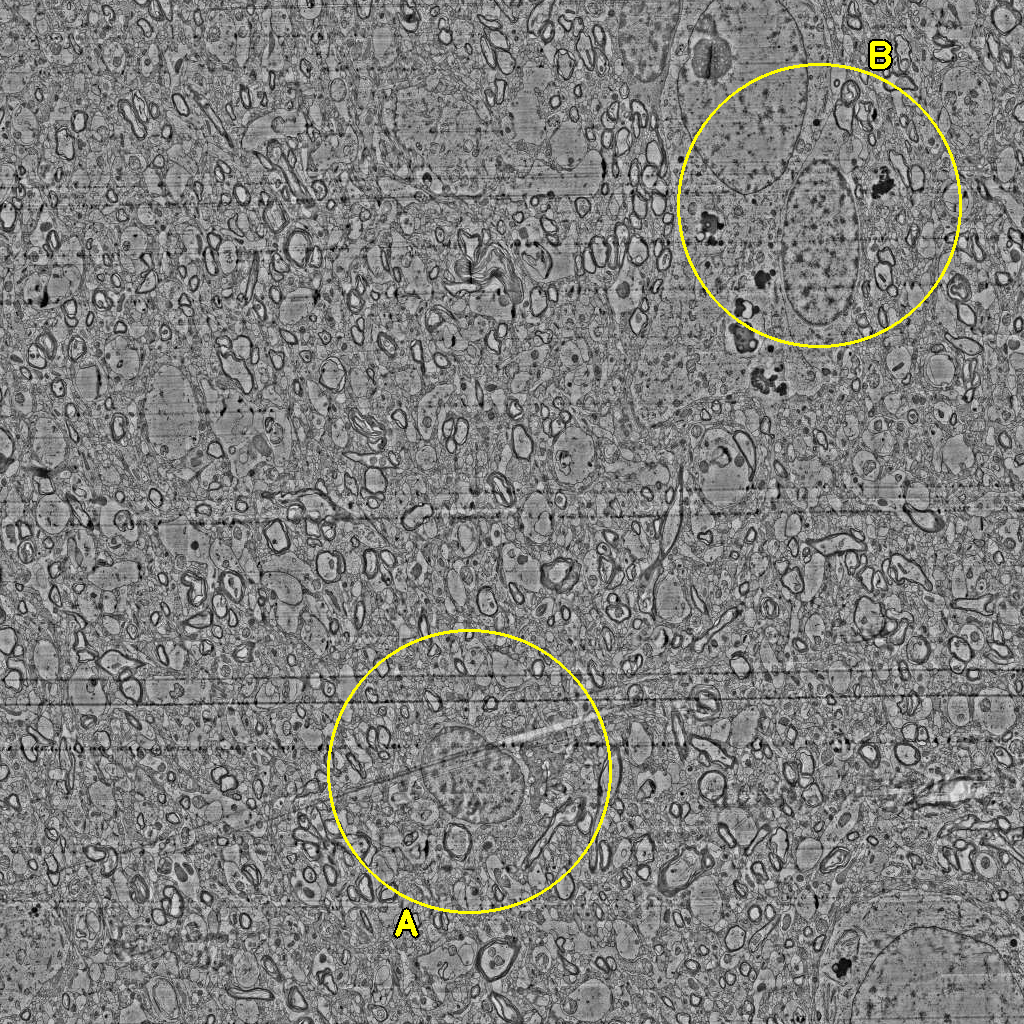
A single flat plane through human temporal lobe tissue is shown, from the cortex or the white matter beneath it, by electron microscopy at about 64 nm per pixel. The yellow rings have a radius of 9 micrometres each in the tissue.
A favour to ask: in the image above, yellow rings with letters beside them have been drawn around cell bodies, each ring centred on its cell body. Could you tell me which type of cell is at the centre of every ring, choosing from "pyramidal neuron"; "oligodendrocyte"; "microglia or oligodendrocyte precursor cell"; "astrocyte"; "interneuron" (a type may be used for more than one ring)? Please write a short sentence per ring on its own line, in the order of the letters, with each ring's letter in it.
Ring A holds an oligodendrocyte at its centre.
Ring B holds a microglial cell or oligodendrocyte precursor cell at its centre.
